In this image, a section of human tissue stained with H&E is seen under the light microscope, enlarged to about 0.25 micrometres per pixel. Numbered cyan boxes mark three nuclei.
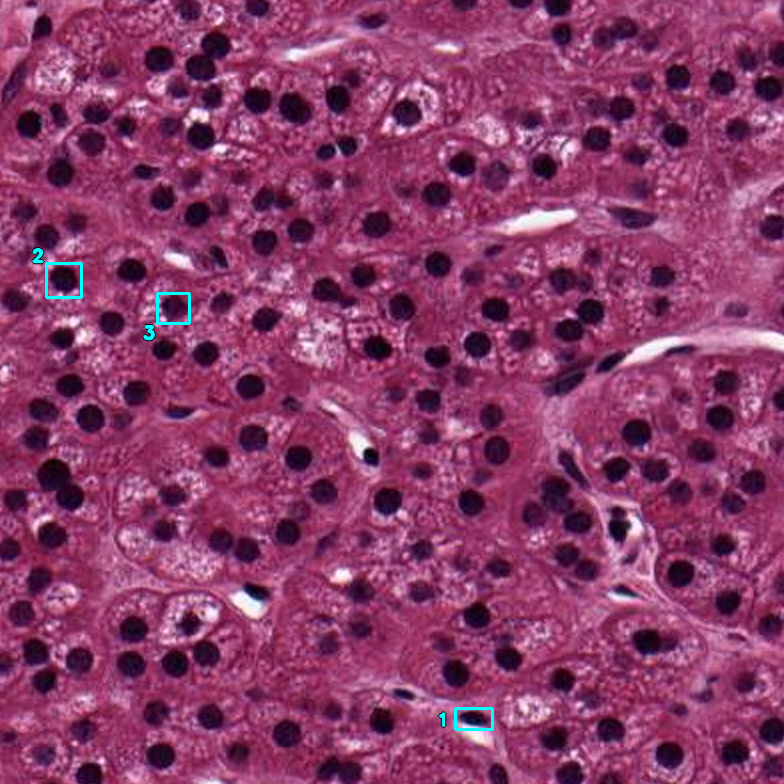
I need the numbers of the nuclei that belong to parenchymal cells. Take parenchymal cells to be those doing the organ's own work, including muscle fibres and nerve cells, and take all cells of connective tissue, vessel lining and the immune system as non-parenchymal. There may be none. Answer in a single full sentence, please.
The cells of nuclei 2 and 3 are parenchymal cells.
